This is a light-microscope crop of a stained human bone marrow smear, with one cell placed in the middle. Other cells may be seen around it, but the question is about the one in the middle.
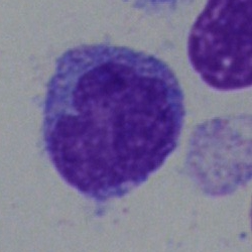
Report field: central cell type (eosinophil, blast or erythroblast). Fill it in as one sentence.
In the crop, the cell of interest at the centre is a blast.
